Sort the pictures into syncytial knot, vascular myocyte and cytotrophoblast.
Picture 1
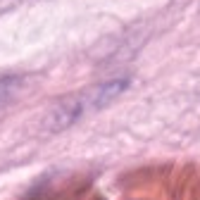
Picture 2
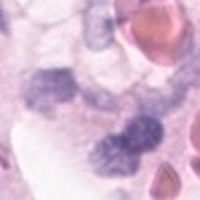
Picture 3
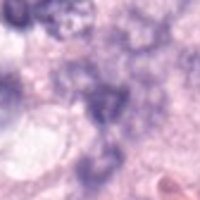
Vascular myocytes: 1
Cytotrophoblasts: 2
Syncytial knots: 3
